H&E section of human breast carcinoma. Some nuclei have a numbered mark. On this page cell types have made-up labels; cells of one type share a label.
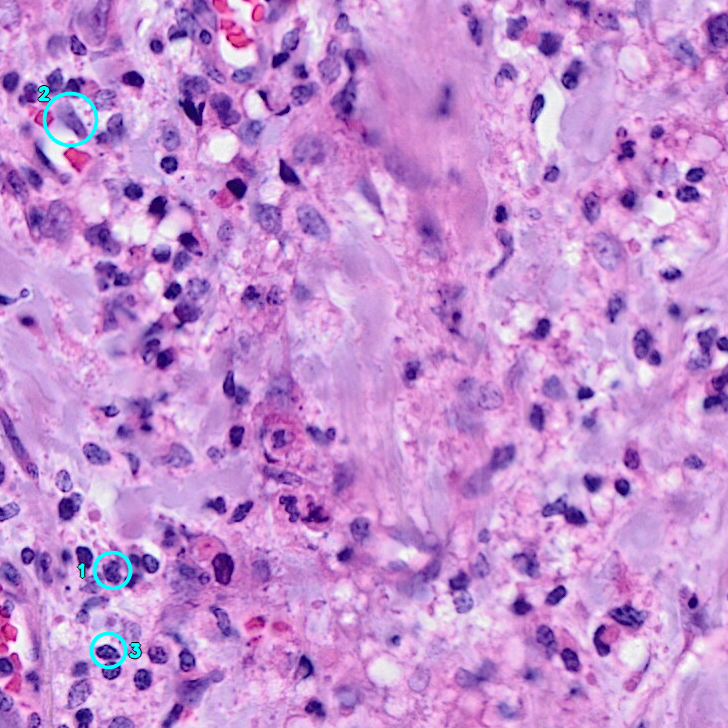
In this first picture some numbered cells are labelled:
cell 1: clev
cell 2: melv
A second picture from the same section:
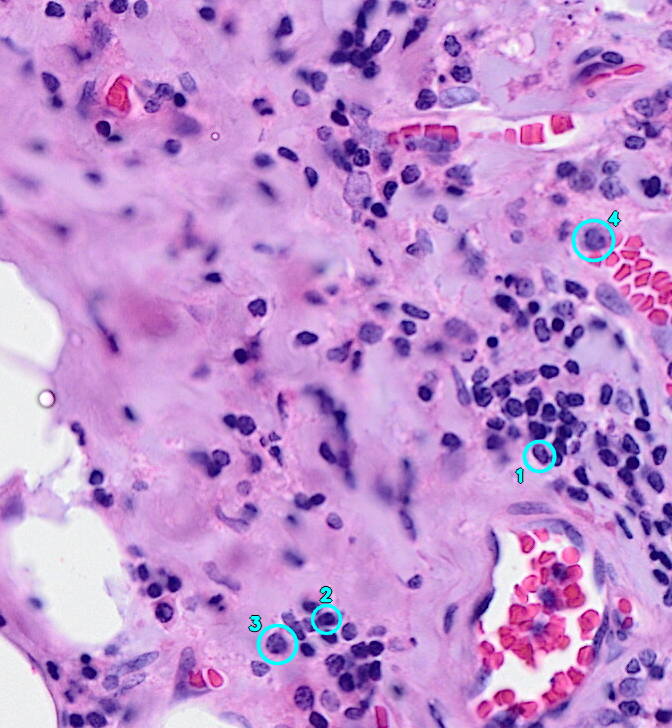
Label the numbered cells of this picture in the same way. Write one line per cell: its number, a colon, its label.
1: clev
2: clev
3: clev
4: melv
